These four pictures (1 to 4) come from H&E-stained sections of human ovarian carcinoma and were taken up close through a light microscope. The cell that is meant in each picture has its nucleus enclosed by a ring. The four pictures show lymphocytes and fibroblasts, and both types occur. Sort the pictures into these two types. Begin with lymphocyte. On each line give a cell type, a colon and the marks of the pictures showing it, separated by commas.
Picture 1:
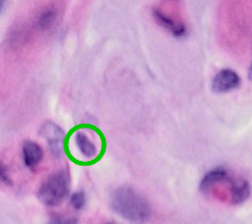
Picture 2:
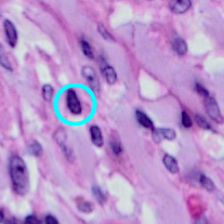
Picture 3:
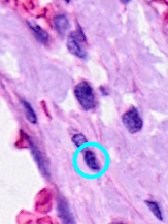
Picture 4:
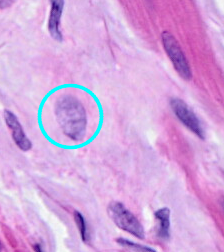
lymphocyte: 1, 2, 3
fibroblast: 4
